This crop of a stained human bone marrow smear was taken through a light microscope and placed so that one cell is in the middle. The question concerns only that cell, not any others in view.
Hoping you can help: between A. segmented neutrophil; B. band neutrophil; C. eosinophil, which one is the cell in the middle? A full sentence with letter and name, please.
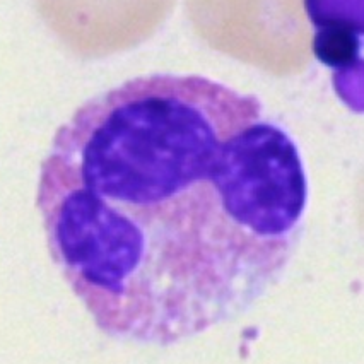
The middle of the crop contains an eosinophil, so option C is right.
